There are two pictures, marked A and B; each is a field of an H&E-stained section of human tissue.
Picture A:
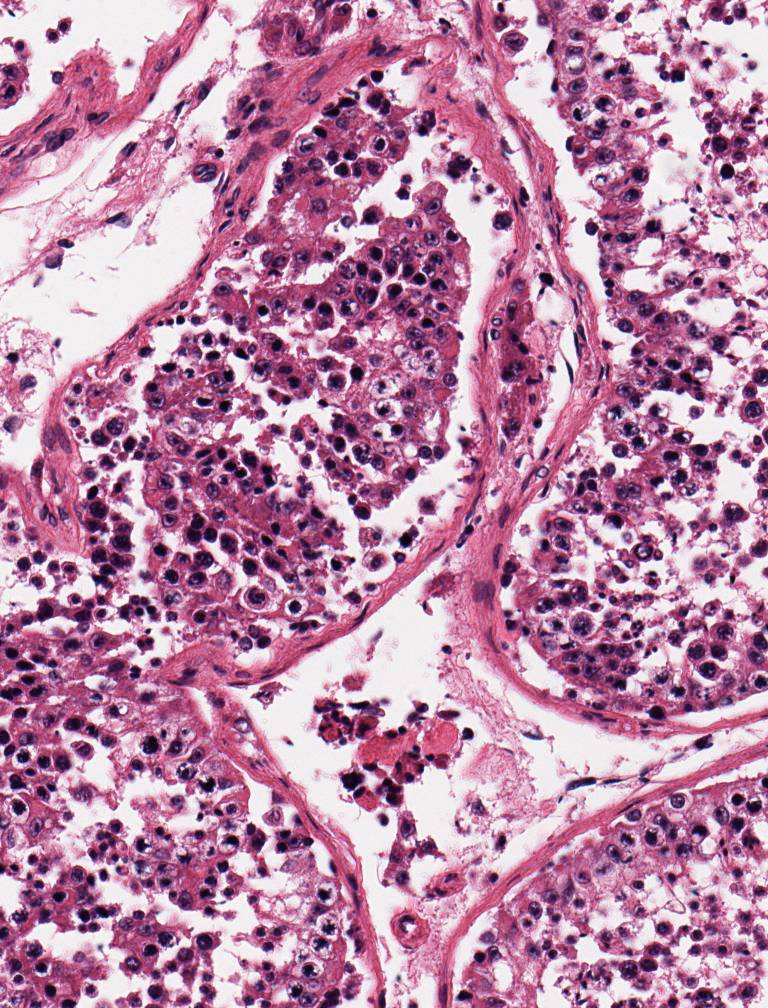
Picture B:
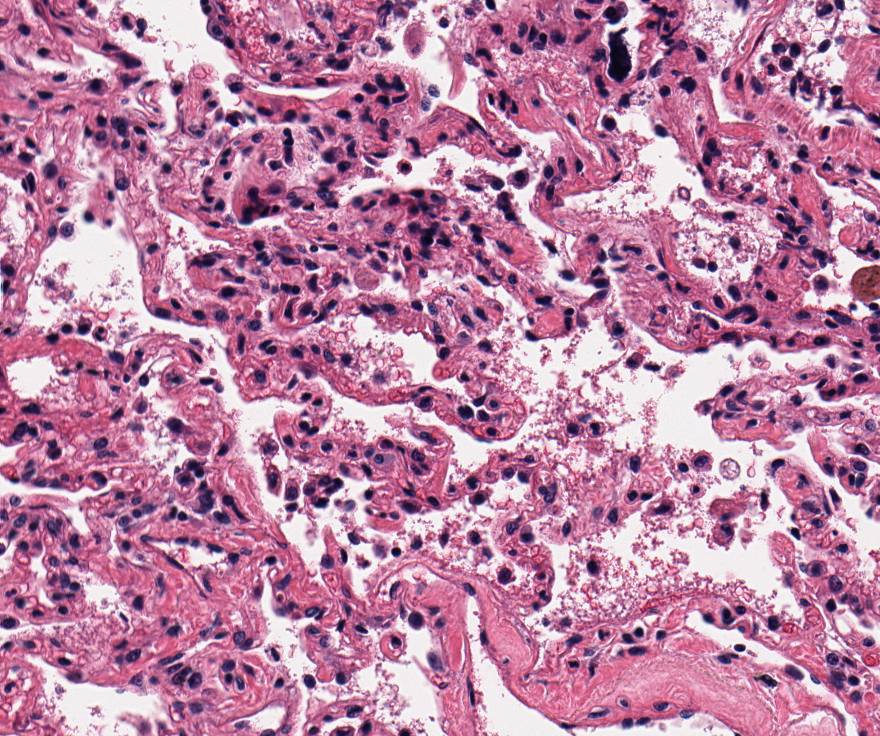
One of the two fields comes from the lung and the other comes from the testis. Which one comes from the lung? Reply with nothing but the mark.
B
